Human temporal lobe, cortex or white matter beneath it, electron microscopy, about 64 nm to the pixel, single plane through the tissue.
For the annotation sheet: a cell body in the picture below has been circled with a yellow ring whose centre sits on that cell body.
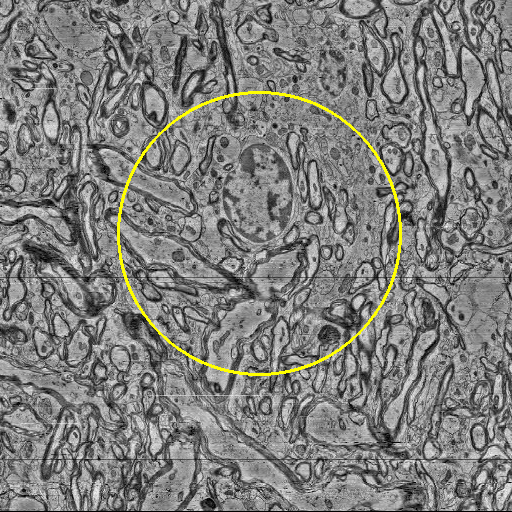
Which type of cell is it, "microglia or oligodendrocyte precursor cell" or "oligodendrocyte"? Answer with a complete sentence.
The circled cell is a microglial cell or oligodendrocyte precursor cell.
